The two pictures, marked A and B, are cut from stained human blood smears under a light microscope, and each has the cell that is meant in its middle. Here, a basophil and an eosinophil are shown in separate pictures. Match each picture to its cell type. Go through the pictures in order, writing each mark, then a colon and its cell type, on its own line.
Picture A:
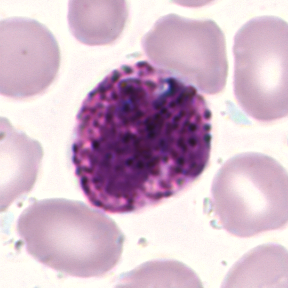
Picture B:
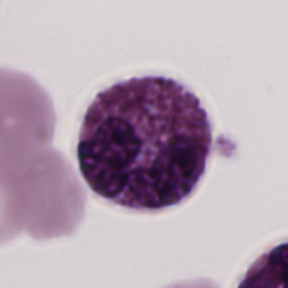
A: basophil
B: eosinophil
